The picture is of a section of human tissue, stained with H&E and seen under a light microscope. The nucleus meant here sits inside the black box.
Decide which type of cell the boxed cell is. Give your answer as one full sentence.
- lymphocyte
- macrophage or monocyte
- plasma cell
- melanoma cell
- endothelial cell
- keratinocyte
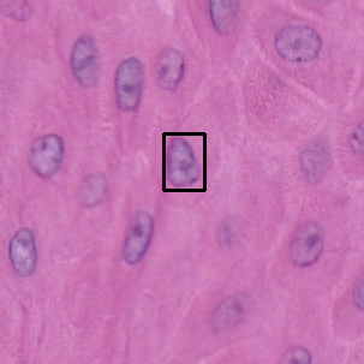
Typologically, the boxed cell is a keratinocyte in this section.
